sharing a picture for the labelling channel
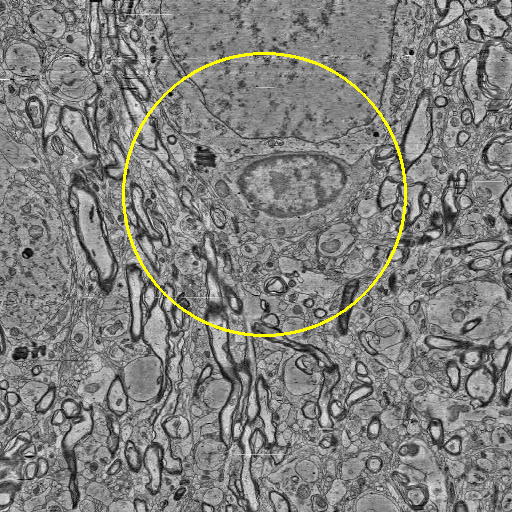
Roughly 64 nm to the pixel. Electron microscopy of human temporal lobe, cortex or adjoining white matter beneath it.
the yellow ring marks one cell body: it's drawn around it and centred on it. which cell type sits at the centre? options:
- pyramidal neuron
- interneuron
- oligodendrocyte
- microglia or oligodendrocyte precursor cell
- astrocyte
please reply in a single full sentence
In the picture, the cell at the ring's centre is an oligodendrocyte, going by the list.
